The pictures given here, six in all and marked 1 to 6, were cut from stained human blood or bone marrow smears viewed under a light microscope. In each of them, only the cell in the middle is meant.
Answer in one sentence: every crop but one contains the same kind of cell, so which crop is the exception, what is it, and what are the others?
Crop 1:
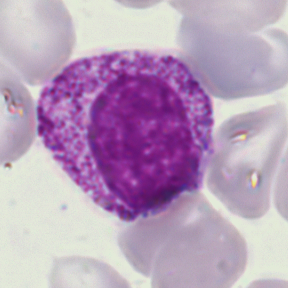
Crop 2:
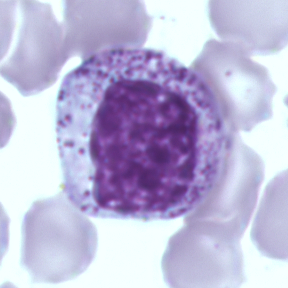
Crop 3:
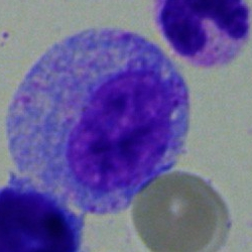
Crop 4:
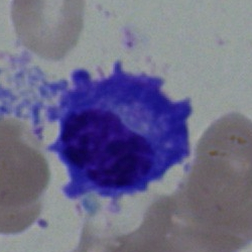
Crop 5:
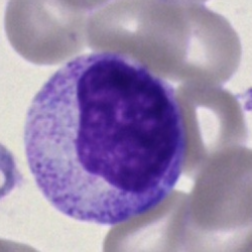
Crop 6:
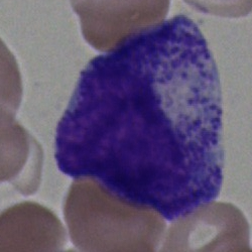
Crop 4 is singled out as a plasma cell, and all of the other crops show myelocytes.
